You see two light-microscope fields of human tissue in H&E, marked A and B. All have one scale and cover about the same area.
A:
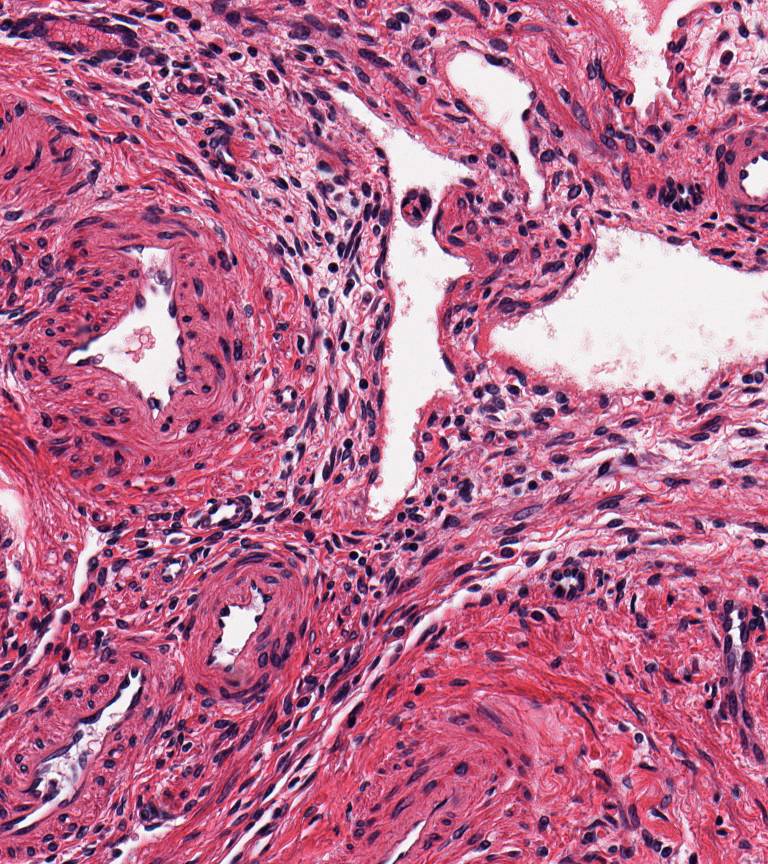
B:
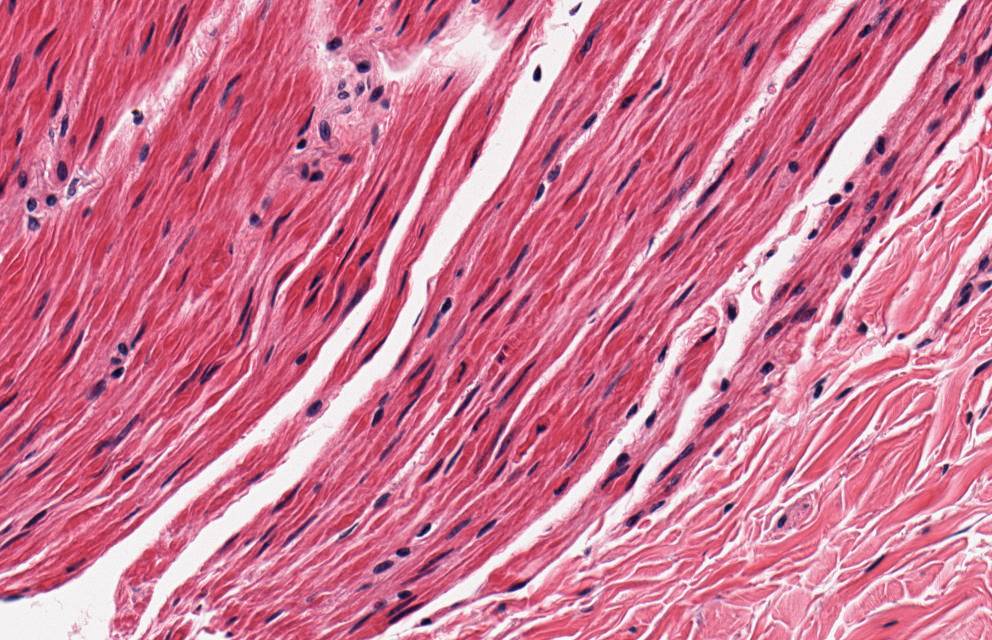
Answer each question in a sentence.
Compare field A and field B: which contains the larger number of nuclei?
It is field A that has more nuclei in it.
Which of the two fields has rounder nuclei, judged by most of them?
Rounder nuclei lie in field A.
